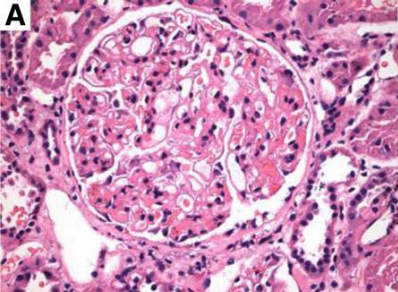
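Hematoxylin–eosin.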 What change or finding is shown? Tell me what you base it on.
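Diffuse thickening of glomerular capillary walls. Capillary lumens remain open without marked cellular crowding.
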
